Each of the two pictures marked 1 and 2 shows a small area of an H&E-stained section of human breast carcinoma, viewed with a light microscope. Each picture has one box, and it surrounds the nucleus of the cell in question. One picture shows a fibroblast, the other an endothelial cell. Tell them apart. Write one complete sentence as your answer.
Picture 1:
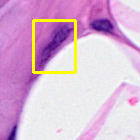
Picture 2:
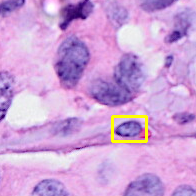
Picture 1 shows a fibroblast and picture 2 shows an endothelial cell.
